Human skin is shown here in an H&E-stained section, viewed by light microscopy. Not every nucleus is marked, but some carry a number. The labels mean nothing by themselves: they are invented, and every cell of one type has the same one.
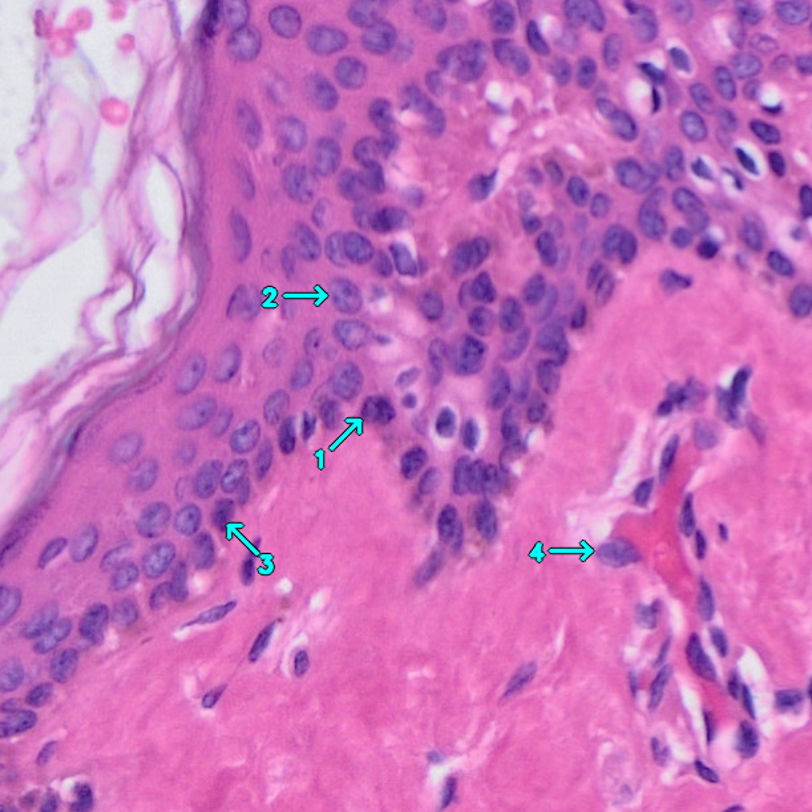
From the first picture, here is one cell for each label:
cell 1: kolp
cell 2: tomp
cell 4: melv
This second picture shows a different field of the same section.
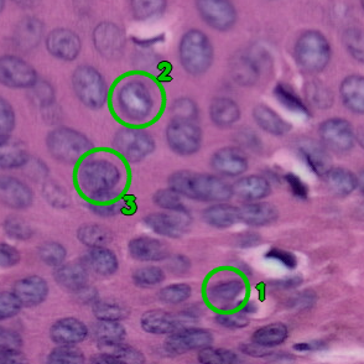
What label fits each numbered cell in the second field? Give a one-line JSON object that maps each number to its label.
{"1": "kolp", "2": "tomp", "3": "tomp"}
